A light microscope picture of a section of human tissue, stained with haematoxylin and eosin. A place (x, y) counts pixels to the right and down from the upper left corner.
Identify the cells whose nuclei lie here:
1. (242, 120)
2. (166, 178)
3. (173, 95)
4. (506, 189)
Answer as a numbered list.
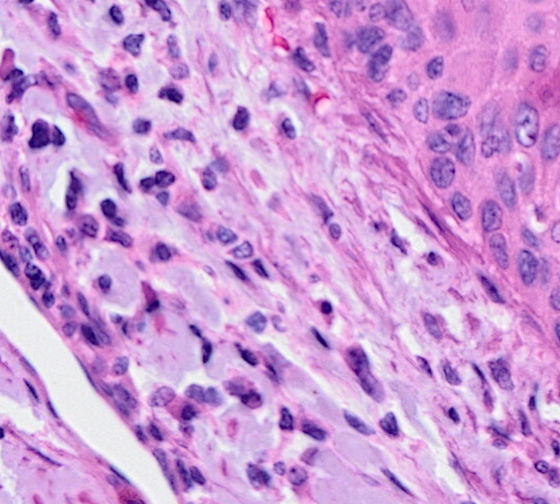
1. lymphocyte
2. lymphocyte
3. lymphocyte
4. squamous carcinoma cell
